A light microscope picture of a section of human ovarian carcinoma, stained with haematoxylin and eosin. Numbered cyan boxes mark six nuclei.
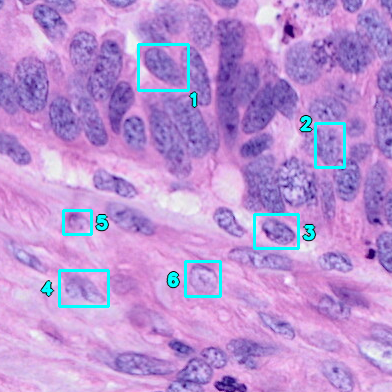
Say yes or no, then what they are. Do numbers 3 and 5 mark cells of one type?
No, the cell numbered 3 is a macrophage or monocyte, and the cell numbered 5 is a fibroblast.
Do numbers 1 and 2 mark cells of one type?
Yes, cells 1 and 2 are both termed carcinoma cells.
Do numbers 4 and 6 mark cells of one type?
Yes, in terms of cell type, cells 4 and 6 are both fibroblasts.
